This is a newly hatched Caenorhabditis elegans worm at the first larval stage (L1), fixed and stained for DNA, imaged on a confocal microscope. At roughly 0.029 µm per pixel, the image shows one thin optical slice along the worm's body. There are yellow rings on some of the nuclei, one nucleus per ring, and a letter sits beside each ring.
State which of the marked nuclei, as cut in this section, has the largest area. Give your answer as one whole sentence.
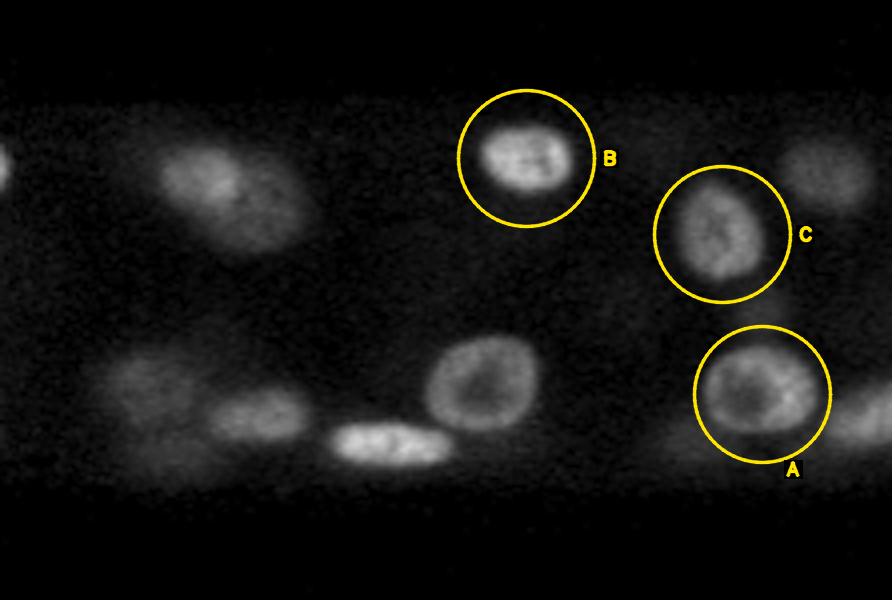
A is the one with the largest cut area.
